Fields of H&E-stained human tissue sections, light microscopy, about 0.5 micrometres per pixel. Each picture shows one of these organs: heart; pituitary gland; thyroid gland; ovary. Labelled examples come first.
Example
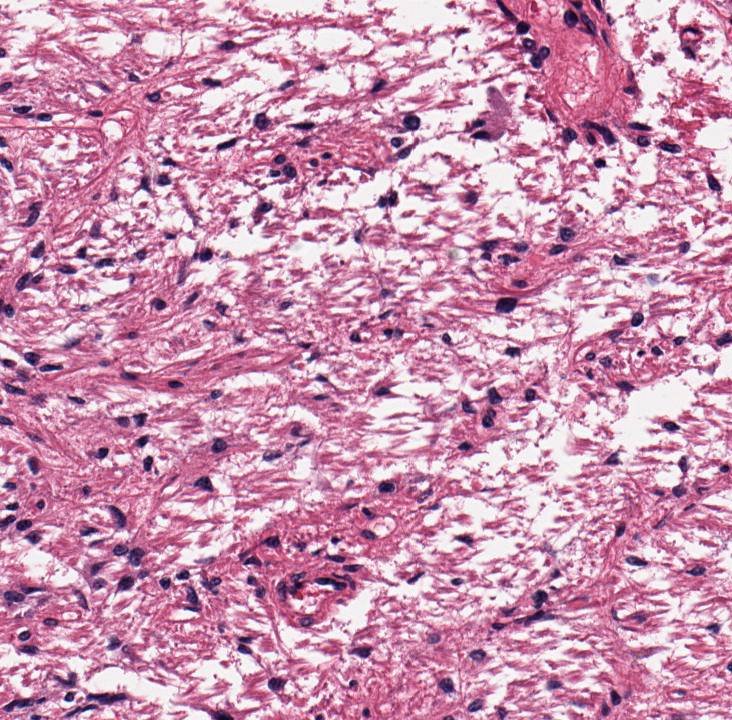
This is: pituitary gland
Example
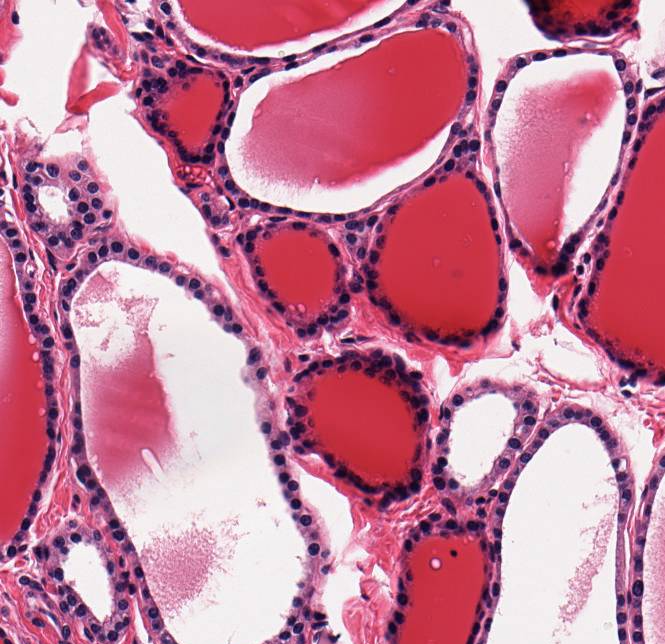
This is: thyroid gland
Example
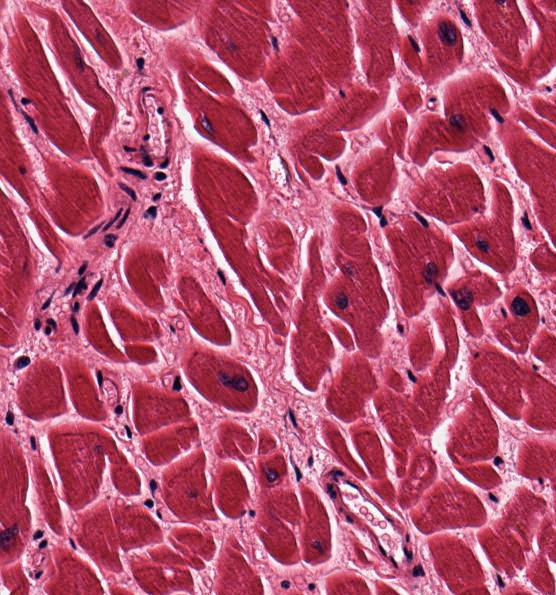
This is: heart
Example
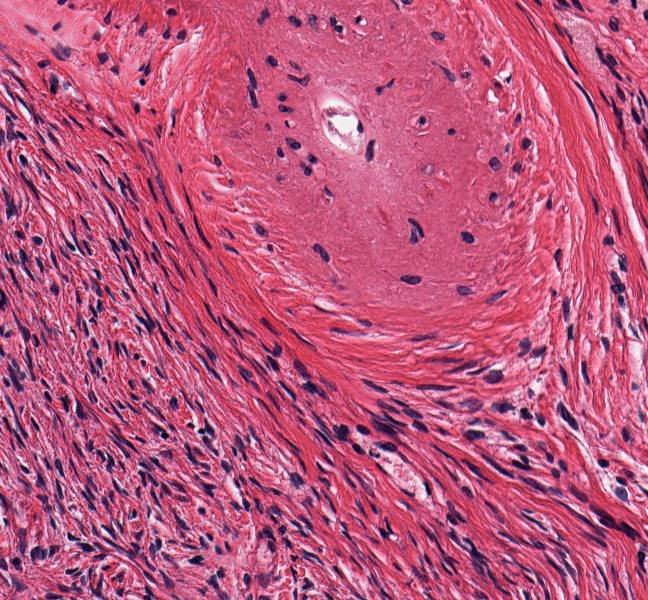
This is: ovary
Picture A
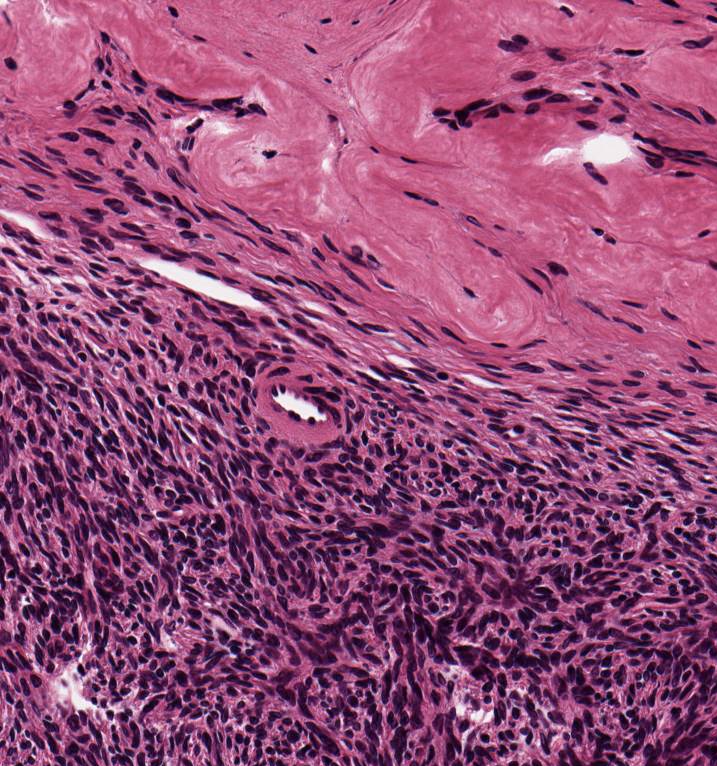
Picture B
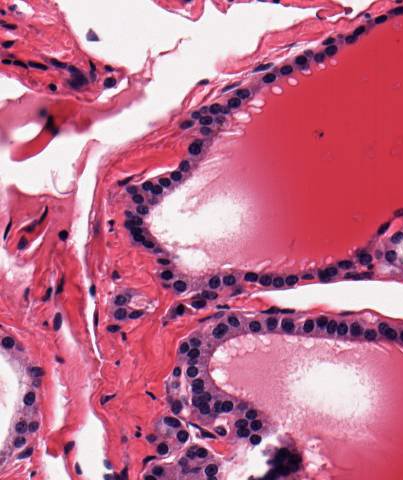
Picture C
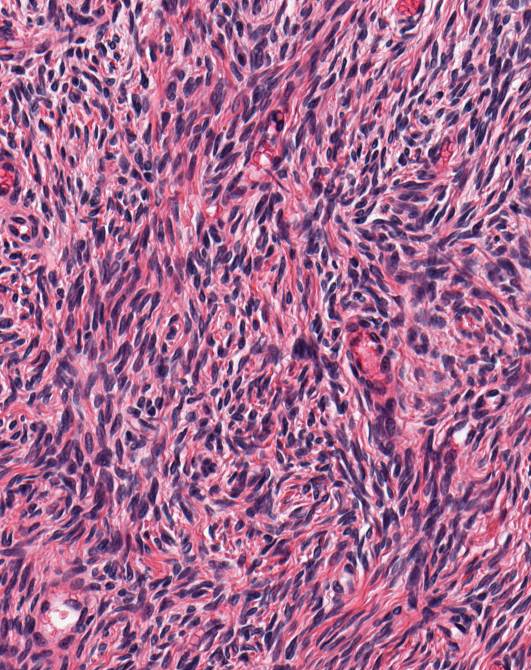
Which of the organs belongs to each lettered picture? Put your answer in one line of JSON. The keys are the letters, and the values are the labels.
{"A": "ovary", "B": "thyroid gland", "C": "ovary"}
